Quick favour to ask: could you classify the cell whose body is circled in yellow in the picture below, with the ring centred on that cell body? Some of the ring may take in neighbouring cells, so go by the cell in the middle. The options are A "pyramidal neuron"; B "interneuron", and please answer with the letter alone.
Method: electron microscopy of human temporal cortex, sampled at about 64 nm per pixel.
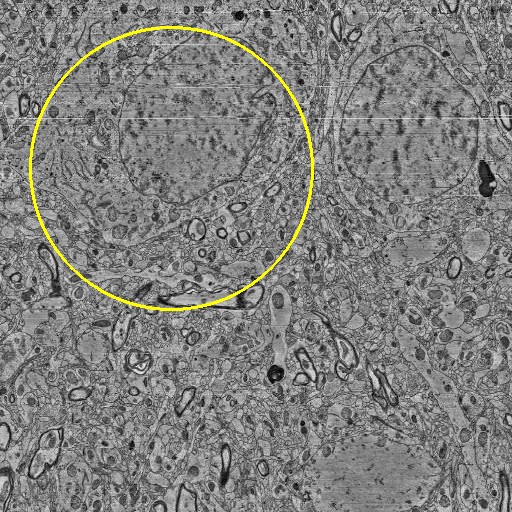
A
